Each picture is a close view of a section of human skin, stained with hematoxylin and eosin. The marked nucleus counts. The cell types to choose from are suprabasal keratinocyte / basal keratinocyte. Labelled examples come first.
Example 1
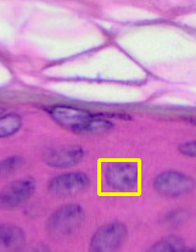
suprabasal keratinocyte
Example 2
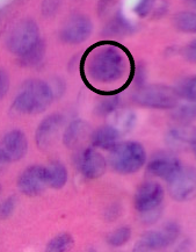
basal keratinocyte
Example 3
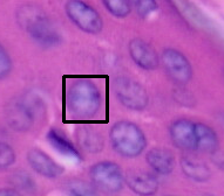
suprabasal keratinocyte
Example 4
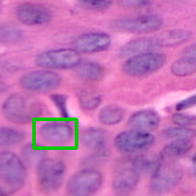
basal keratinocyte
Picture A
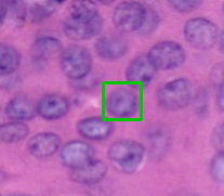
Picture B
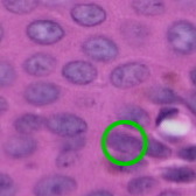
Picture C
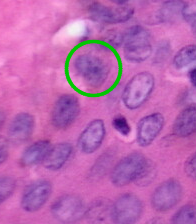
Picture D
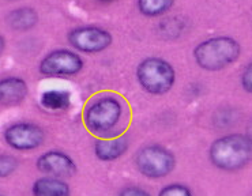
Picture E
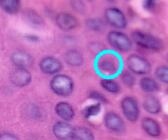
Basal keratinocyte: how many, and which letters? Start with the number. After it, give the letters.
3, namely B, C, E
